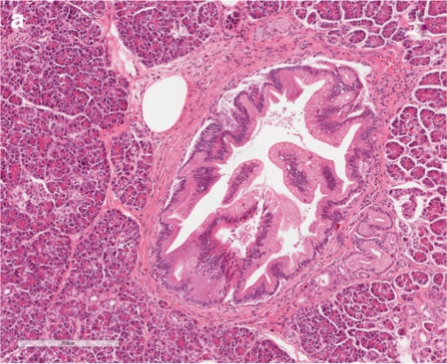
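This is pancreatic tissue with a duct showing low-grade pancreatic intraepithelial neoplasia set among normal acinar parenchyma. The duct lining is tall columnar epithelium with abundant pale pink apical cytoplasm and basally placed, somewhat crowded dark nuclei, folded into small micro-papillae that project into the lumen. The nuclei show only mild to moderate atypia and stay largely basal. A cuff of pink fibrous stroma surrounds the duct. Around it lie lobules of acinar cells with granular pink-purple cytoplasm, and a small empty round vessel-like space lies next to the duct.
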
